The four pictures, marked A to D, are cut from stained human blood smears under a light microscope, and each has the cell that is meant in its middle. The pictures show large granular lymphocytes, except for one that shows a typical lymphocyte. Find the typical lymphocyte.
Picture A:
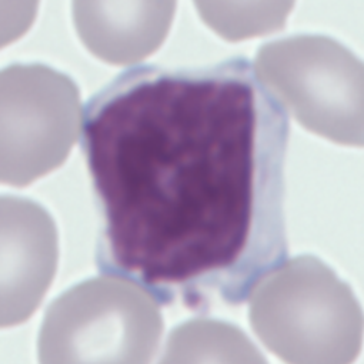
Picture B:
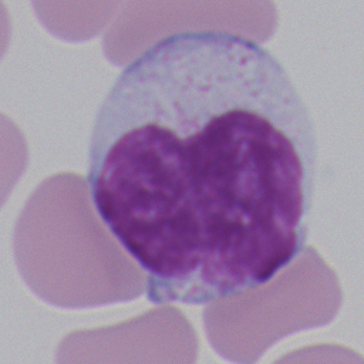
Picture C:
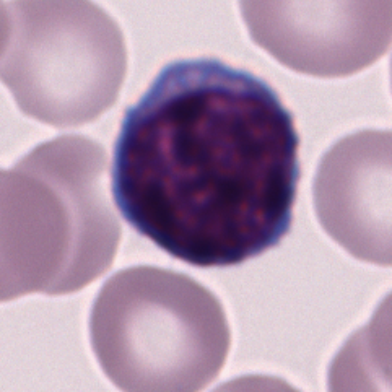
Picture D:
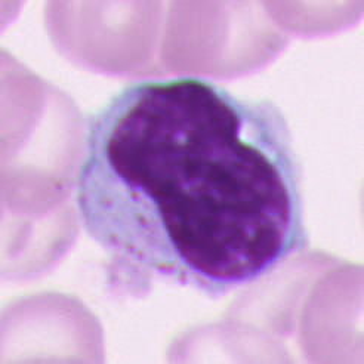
C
